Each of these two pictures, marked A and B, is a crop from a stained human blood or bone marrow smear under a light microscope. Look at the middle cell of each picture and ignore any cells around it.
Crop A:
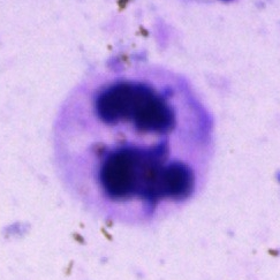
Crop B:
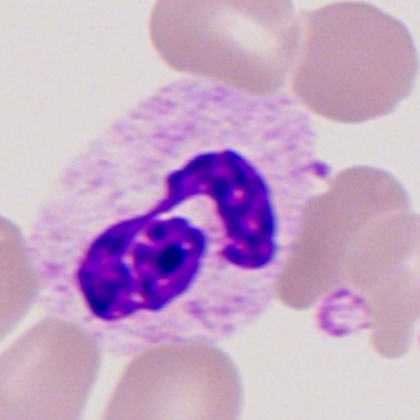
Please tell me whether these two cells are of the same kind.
yes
